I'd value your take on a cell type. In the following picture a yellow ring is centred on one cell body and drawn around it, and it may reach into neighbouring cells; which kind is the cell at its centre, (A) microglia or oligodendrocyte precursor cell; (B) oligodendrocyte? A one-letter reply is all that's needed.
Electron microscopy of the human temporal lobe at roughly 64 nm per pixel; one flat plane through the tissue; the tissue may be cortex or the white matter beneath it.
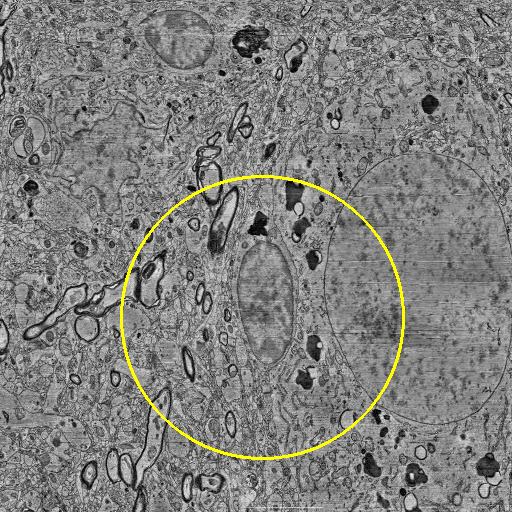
B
